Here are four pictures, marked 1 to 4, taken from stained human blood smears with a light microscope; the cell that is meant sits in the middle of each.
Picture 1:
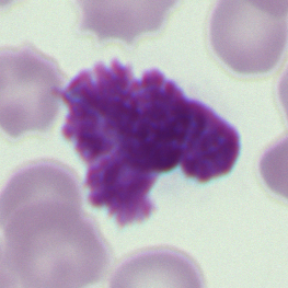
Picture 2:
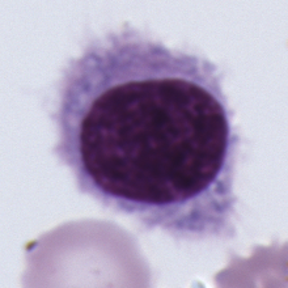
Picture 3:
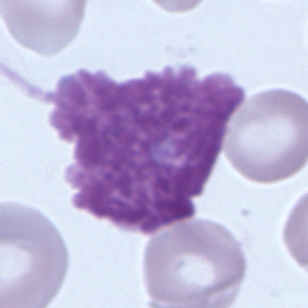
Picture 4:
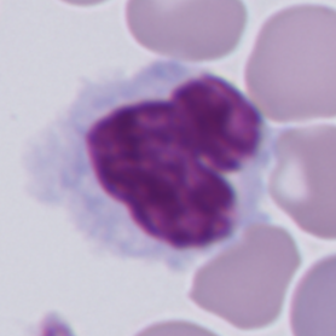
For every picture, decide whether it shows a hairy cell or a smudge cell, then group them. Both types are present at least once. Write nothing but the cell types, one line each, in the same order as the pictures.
smudge cell
hairy cell
smudge cell
hairy cell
